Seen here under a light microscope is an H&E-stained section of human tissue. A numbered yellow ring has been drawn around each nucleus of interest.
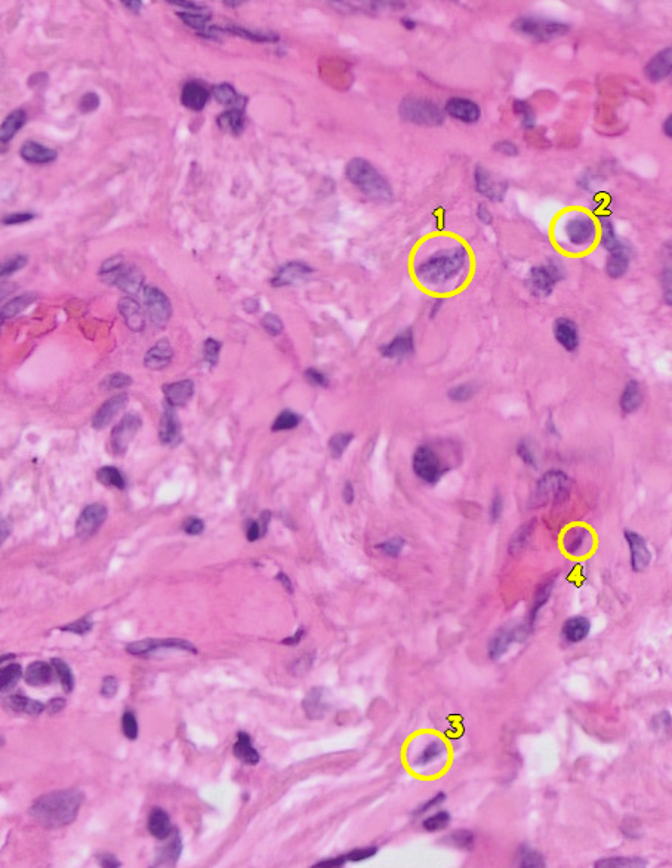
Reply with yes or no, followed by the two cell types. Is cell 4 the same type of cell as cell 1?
No, classify cell 4 as an endothelial cell and cell 1 as a fibroblast.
